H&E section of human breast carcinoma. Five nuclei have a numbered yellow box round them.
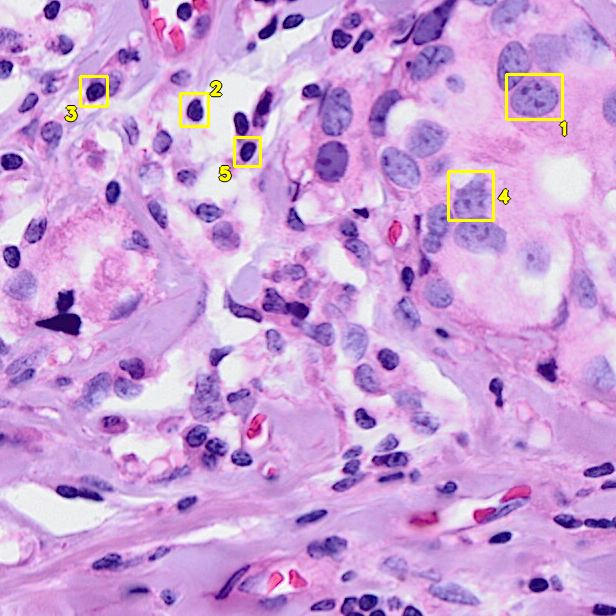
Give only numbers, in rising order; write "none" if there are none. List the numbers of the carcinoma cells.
1, 4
